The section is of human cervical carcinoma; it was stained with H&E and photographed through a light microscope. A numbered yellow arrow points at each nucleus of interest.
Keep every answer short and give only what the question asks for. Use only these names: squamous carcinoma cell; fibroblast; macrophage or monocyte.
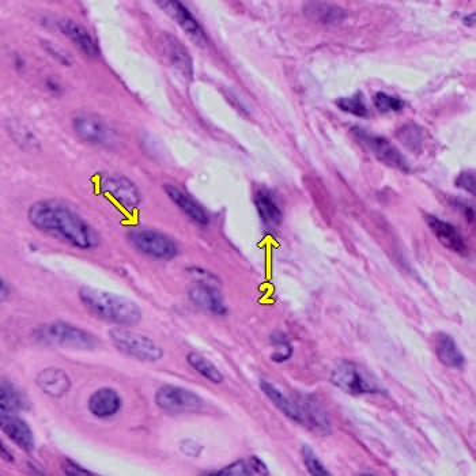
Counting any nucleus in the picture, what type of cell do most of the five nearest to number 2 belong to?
squamous carcinoma cell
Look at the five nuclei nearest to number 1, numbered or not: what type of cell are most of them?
squamous carcinoma cell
